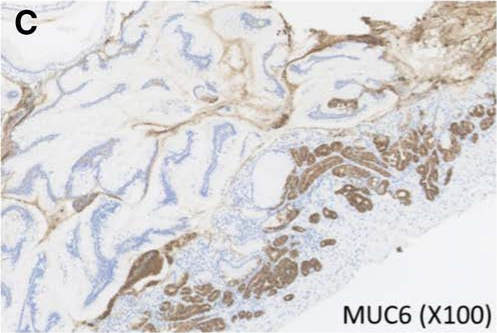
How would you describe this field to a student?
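Cystic glands lined by columnar epithelium lie above a band of stroma containing many small, rounded glands. The small glands stain intensely brown throughout their cytoplasm, while much of the cyst lining shows only blue nuclear counterstain with patchy brown material at the luminal surfaces. The surrounding stroma is pale with scattered blue nuclei.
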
